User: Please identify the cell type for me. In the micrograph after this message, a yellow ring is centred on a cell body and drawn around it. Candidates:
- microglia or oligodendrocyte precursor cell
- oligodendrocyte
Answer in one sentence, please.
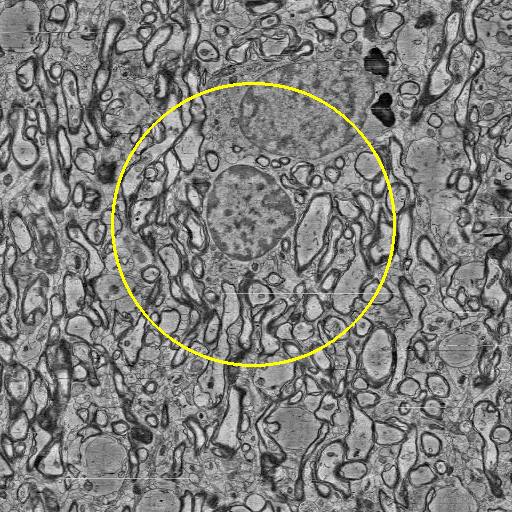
The ring is drawn around the cell body of a microglial cell or oligodendrocyte precursor cell.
